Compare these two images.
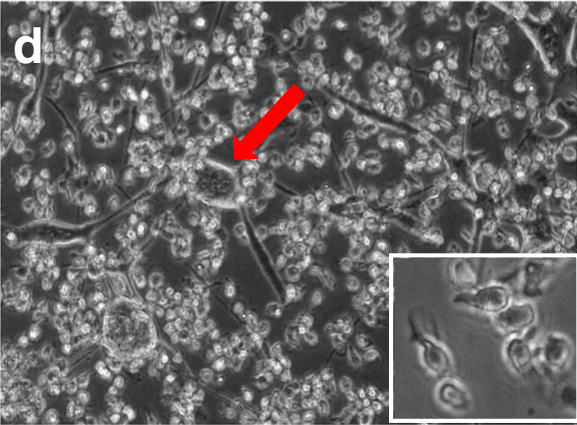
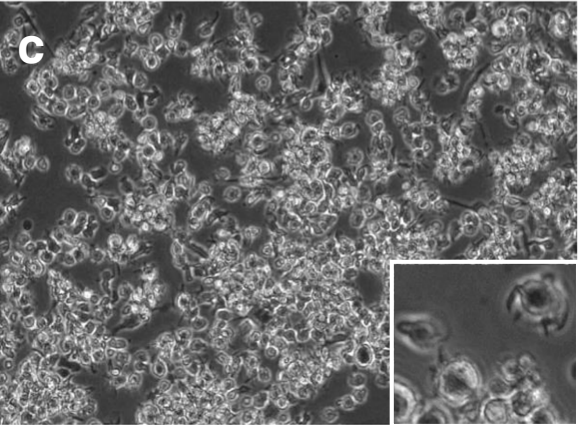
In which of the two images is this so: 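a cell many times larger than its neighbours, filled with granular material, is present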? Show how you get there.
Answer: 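The first image. First image: a few very large cells with granular contents stand out among the small round cells.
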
